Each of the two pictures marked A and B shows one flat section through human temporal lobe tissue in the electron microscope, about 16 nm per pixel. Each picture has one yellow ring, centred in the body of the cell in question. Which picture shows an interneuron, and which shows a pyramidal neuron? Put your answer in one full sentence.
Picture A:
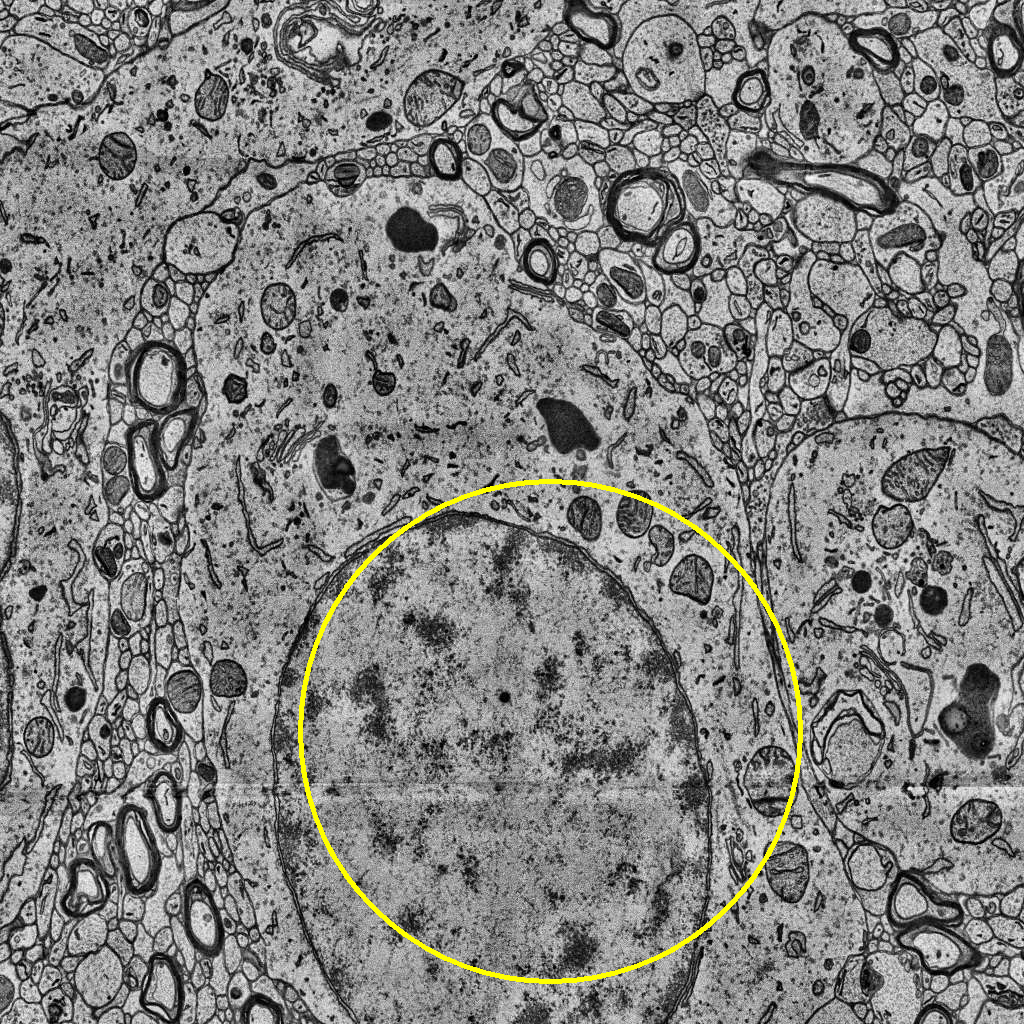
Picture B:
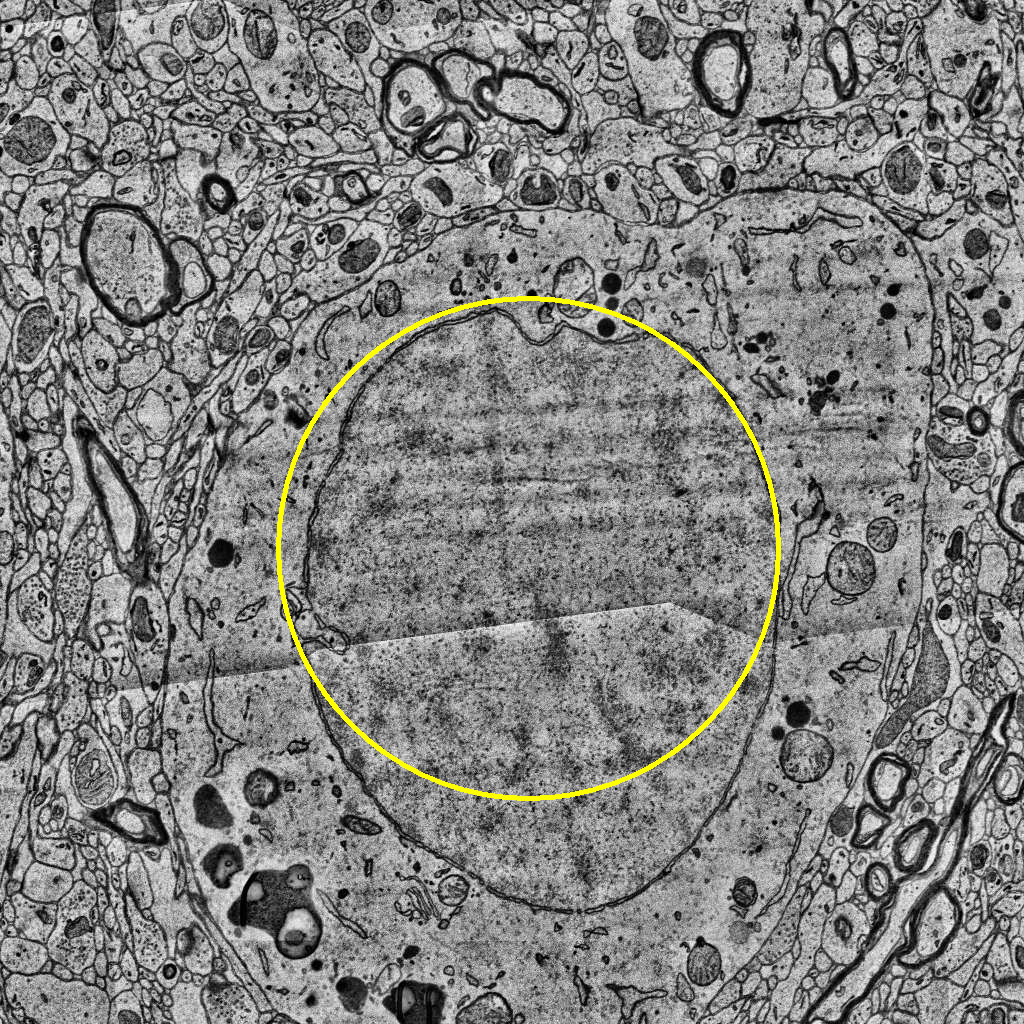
It is picture A that shows an interneuron, and picture B that shows a pyramidal neuron.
